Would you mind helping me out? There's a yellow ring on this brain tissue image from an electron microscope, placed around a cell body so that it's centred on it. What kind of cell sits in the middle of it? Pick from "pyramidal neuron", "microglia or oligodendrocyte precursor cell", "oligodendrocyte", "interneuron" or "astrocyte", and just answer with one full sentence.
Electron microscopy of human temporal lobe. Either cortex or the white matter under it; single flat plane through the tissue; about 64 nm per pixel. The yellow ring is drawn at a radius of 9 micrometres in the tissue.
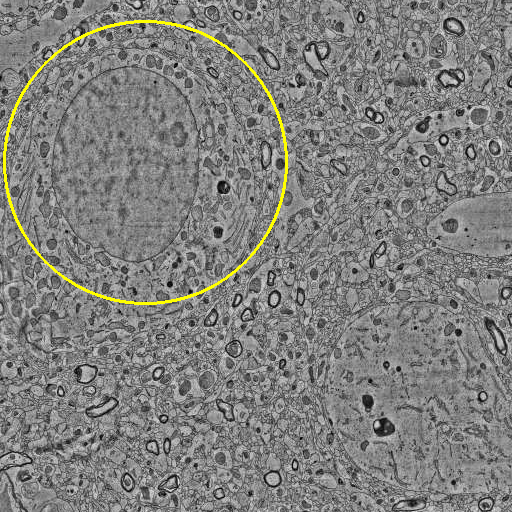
What sits in the middle of that yellow ring is an interneuron, from your choices.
